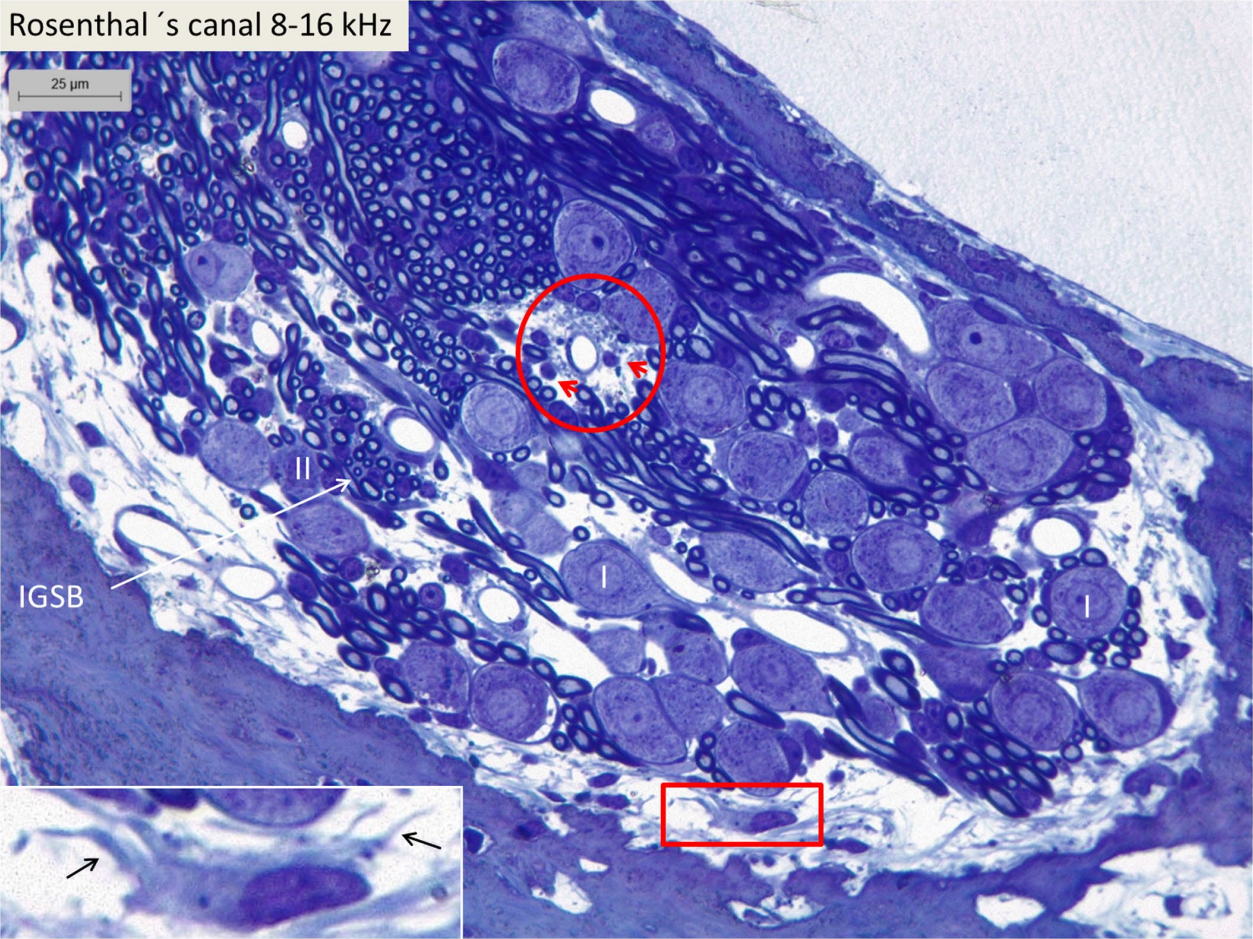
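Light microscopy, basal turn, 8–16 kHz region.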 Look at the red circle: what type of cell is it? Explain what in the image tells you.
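Perivascular round cells. Inside the circle a small vessel lumen shows as a clear oval space. Small round darkly stained cells lie around the lumen, marked by small red arrowheads. These cells are much smaller than the large neuron cell bodies nearby.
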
